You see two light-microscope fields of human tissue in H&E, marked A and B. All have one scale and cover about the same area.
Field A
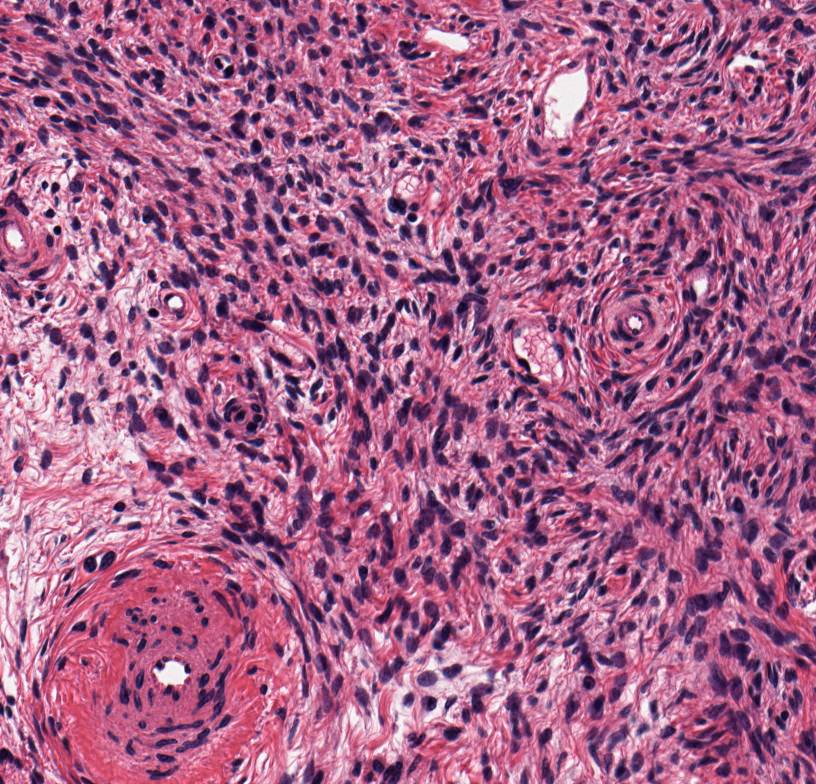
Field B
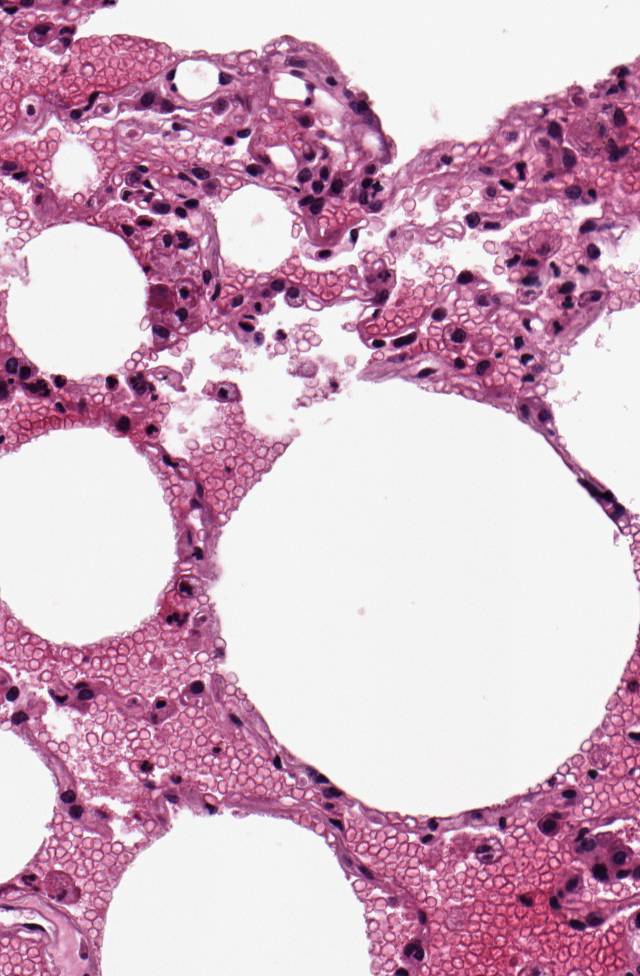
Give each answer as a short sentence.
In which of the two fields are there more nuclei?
More nuclei lie in field A than in field B.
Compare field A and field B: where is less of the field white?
Field A has less white space.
